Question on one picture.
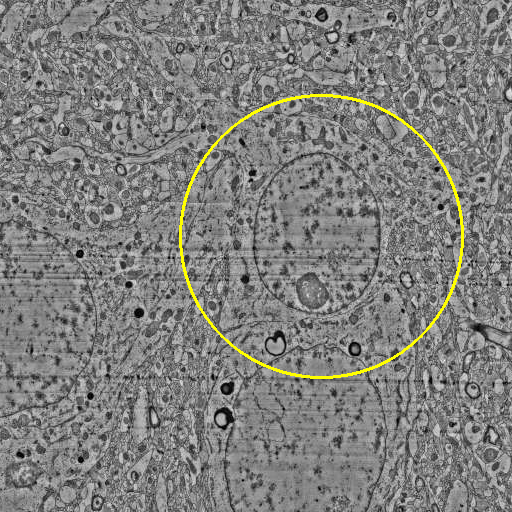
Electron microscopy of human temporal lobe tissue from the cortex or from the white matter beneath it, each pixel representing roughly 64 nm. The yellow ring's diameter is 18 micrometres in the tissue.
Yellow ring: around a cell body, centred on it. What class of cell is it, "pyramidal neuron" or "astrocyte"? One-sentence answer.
This is a pyramidal neuron, the cell the ring is centred on.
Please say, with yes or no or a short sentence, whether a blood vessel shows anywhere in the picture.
No, none appears.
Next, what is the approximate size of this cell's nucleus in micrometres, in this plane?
The nucleus works out at approximately 10 by 8 micrometres in this plane.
